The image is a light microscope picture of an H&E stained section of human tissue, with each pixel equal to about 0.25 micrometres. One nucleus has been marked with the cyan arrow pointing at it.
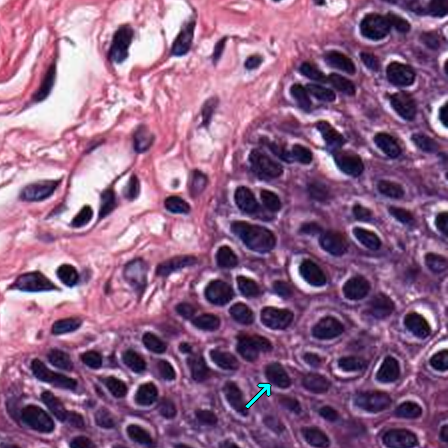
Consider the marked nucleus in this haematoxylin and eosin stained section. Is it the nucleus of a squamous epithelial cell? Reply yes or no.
yes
